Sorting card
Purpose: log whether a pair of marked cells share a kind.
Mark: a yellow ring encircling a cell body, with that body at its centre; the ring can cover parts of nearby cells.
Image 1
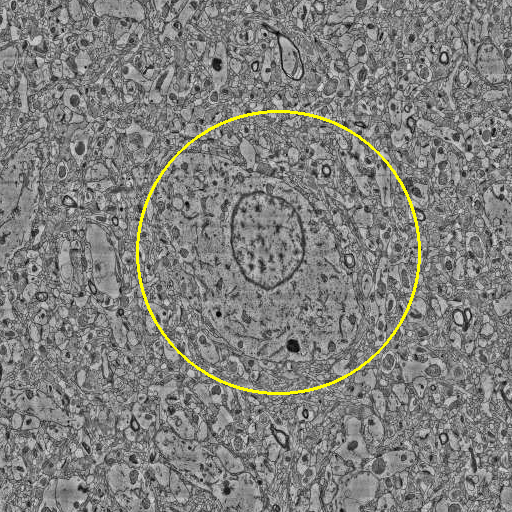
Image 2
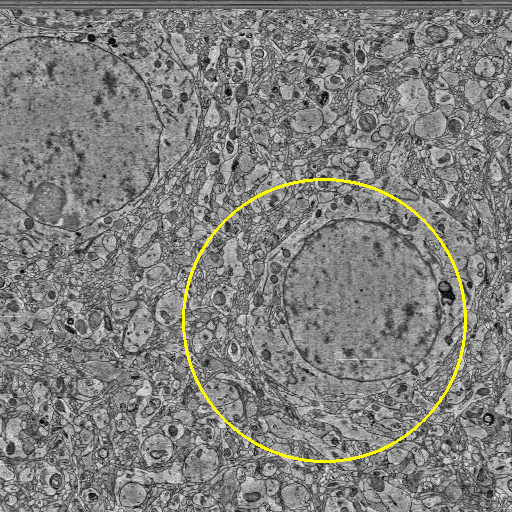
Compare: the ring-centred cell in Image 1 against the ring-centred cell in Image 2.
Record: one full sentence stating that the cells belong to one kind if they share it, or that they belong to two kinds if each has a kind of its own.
Across Images 1 and 2, the two ring-centred cells belong to one kind.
